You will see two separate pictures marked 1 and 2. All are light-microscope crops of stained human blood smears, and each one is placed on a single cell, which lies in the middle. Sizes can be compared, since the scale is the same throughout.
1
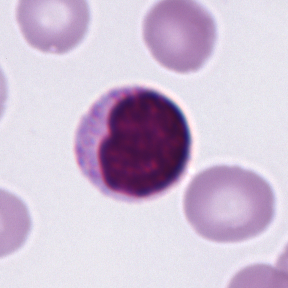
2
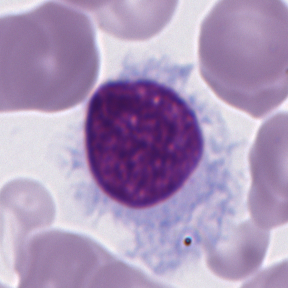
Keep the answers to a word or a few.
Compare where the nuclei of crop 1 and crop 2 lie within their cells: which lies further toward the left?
2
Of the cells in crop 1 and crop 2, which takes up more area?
2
